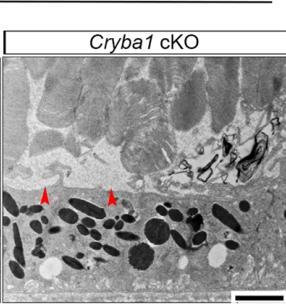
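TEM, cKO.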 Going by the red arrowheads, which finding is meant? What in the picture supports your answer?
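At the arrowheads the apical surface of the granule-laden cell layer is smooth and flat. No thin processes extend from that surface into the space above. The answer: microvilli loss.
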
